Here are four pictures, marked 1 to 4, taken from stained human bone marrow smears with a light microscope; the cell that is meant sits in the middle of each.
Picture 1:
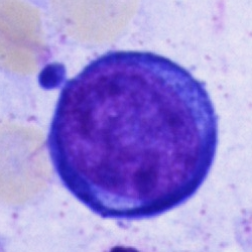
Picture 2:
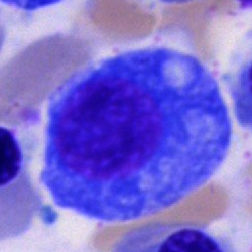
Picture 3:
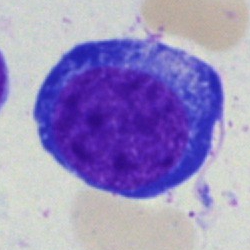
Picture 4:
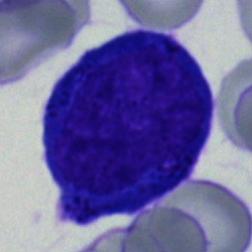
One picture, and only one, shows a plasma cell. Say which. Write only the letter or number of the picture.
2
